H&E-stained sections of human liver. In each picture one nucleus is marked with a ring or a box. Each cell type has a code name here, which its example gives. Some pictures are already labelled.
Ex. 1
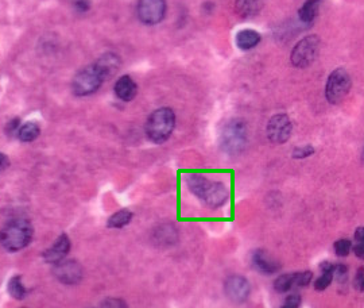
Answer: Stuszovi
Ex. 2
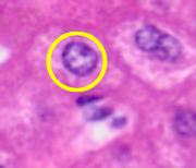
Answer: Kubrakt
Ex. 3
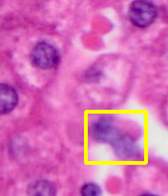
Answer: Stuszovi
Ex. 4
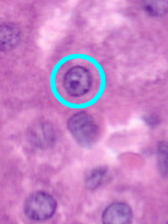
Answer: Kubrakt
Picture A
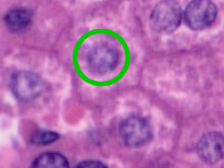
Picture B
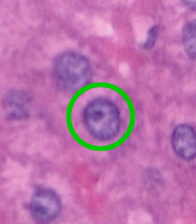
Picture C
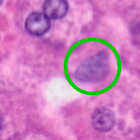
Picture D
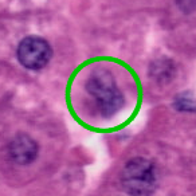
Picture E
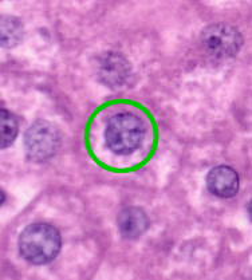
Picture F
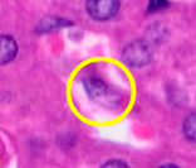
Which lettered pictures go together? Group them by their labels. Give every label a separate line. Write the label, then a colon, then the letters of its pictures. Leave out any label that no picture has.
Stuszovi: C, D, F
Kubrakt: A, B, E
